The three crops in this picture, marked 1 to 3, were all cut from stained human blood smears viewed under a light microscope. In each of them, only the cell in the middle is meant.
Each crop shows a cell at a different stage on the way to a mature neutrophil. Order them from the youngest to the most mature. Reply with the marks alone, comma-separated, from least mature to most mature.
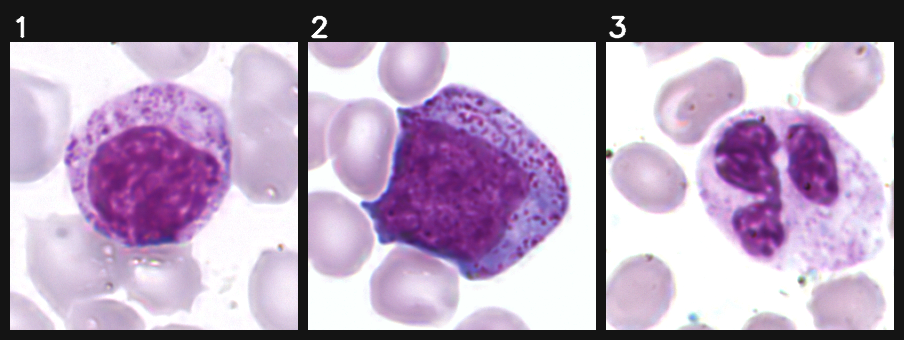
2, 1, 3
